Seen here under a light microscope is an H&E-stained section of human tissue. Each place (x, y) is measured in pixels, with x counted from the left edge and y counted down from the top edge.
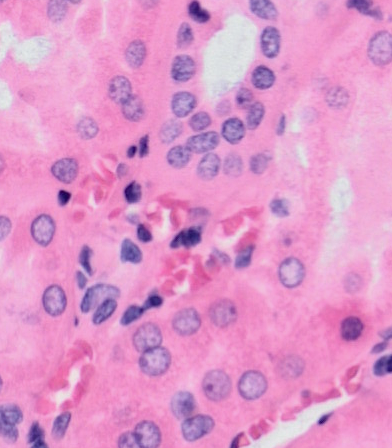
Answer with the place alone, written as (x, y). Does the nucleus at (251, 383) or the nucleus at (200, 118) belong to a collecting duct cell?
(200, 118)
